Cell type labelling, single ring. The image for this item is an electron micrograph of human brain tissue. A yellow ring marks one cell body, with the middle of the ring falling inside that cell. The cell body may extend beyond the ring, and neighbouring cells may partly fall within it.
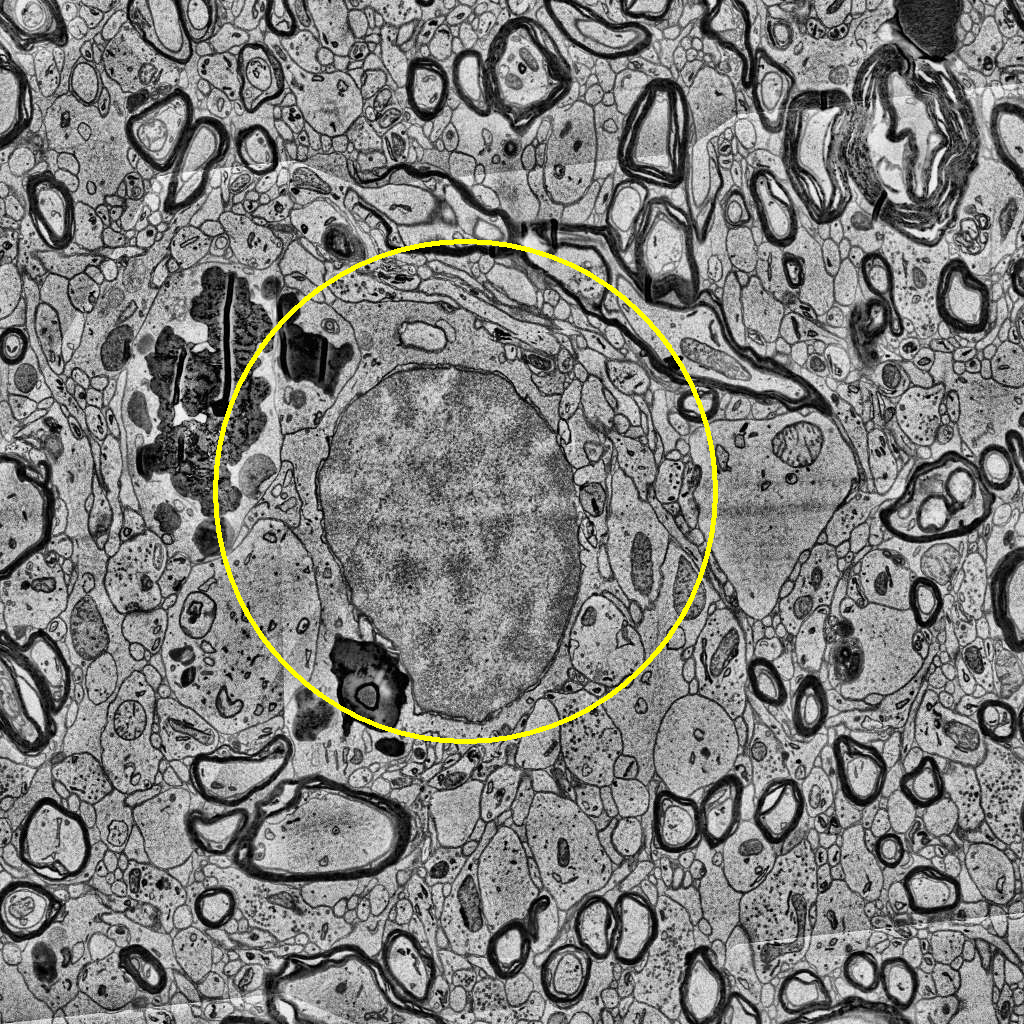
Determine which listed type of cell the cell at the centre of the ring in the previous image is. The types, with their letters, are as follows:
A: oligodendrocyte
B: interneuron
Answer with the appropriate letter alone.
A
